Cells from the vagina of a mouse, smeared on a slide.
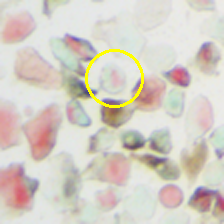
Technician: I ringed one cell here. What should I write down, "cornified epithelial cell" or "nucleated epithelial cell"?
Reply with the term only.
nucleated epithelial cell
